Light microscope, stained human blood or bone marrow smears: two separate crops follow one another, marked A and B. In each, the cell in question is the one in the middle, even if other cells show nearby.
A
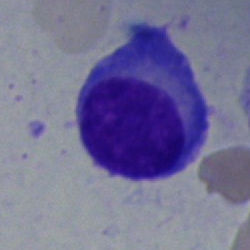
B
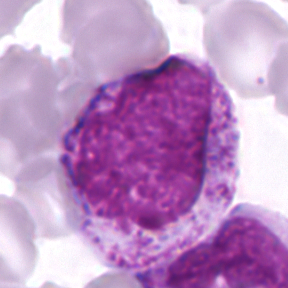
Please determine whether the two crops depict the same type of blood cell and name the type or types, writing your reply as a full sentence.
No, in this case crop A shows a plasma cell, and crop B shows a myelocyte.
